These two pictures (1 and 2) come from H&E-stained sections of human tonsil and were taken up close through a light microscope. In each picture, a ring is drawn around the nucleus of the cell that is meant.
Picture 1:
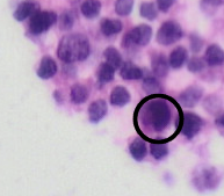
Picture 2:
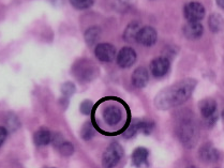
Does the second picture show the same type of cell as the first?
no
